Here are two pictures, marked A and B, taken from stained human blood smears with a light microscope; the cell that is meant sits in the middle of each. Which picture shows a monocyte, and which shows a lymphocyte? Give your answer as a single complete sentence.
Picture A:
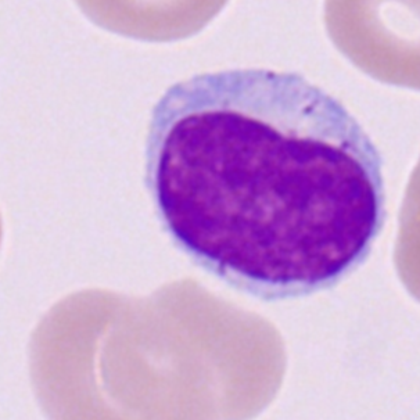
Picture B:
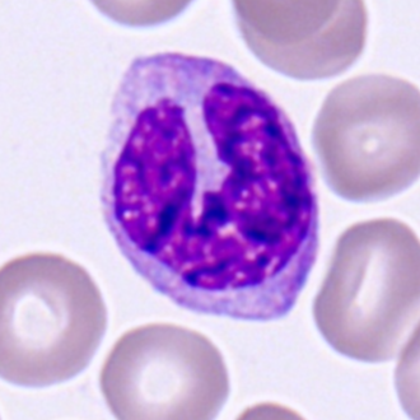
Picture A shows a lymphocyte and picture B shows a monocyte.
